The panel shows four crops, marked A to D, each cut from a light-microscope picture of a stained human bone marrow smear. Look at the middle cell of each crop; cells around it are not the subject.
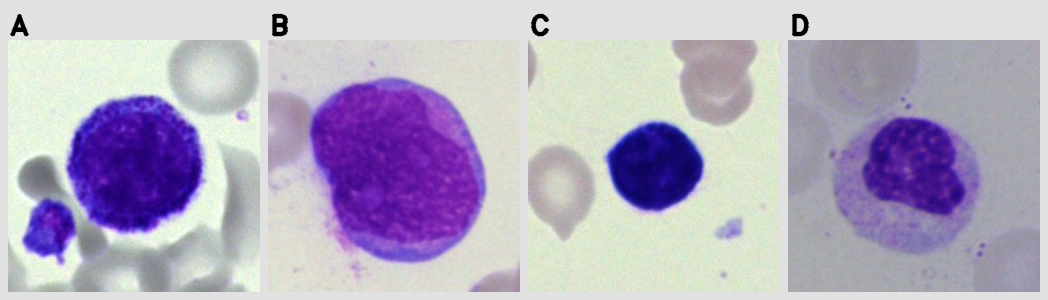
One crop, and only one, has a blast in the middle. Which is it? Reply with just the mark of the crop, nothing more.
B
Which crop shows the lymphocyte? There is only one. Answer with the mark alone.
C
